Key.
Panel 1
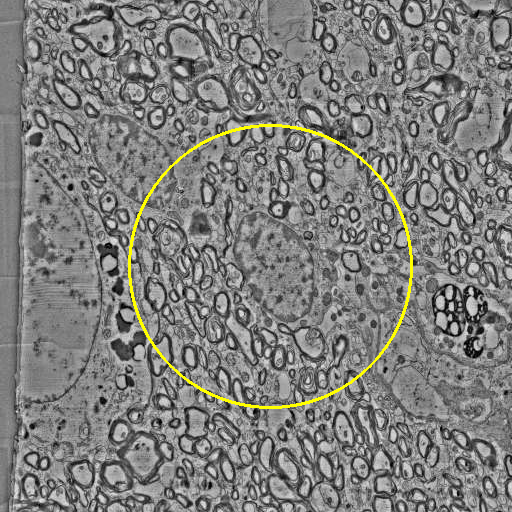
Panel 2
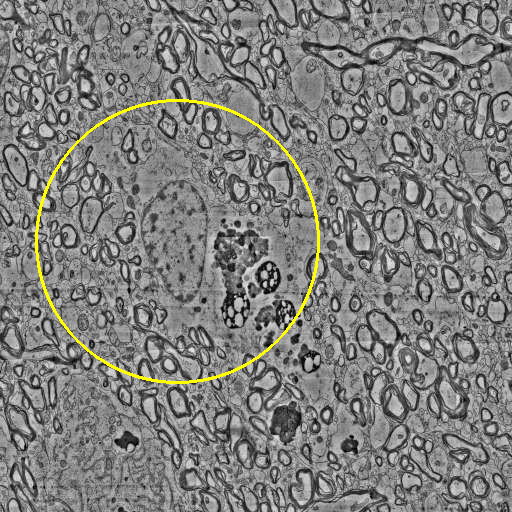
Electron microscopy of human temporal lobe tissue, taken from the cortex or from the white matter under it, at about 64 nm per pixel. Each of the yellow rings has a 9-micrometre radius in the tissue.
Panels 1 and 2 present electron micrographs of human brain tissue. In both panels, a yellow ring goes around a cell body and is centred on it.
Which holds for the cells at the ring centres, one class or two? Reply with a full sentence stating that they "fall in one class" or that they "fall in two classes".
Taken together, the ring-centre cells of the two panels fall in two classes.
